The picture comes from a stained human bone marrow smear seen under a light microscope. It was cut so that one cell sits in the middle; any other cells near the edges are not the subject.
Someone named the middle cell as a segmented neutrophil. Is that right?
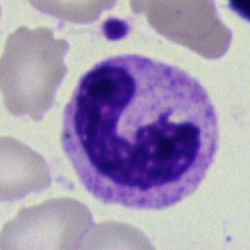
no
